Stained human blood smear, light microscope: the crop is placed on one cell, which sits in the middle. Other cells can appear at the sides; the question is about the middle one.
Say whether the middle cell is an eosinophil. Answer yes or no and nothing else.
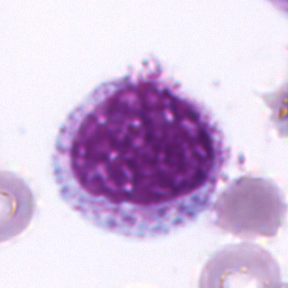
no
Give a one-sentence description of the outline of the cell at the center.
The perimeter of the cell is irregular, with ragged sections or outward projections.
